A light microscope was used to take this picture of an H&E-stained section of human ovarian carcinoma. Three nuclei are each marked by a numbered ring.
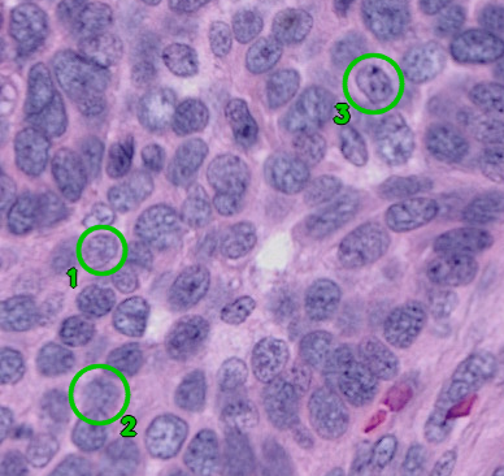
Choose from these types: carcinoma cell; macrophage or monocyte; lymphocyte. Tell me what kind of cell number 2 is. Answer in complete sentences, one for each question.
Nucleus 2 in this section belongs to a carcinoma cell.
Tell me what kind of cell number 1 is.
Belonging to a carcinoma cell is the nucleus that carries the number 1.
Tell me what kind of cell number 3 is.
Denoted by the label 3 in the section is a macrophage or monocyte.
